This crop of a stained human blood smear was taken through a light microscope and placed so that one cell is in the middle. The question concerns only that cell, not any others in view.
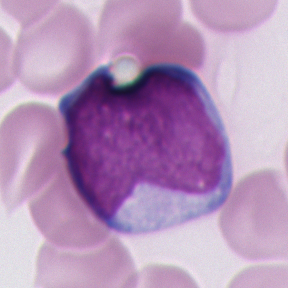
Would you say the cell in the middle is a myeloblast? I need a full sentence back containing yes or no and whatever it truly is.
Yes, the cell in the middle of this smear crop is a myeloblast.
